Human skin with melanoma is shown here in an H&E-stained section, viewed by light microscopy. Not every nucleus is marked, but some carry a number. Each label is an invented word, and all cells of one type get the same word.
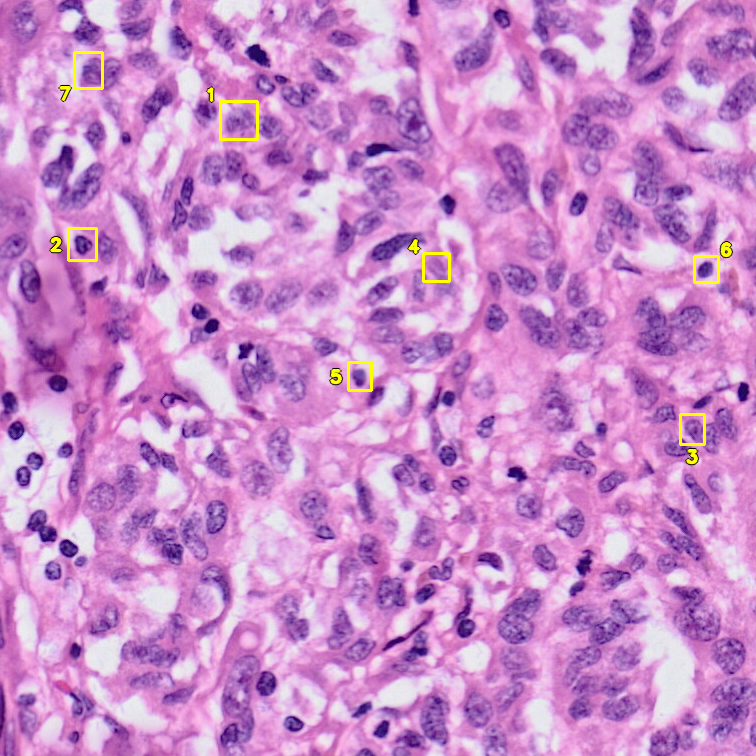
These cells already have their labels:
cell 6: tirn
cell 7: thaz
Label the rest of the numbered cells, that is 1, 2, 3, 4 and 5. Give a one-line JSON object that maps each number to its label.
{"1": "thaz", "2": "tirn", "3": "thaz", "4": "thaz", "5": "tirn"}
